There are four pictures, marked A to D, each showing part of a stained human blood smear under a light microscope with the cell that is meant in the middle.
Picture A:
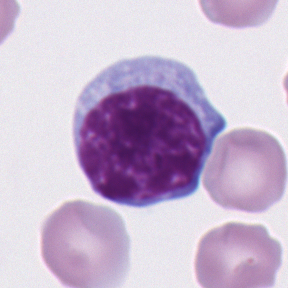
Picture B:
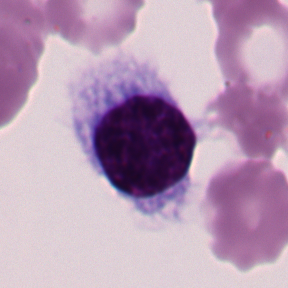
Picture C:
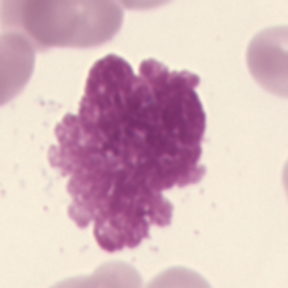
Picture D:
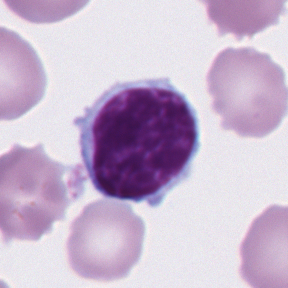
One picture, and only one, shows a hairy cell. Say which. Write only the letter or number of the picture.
B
